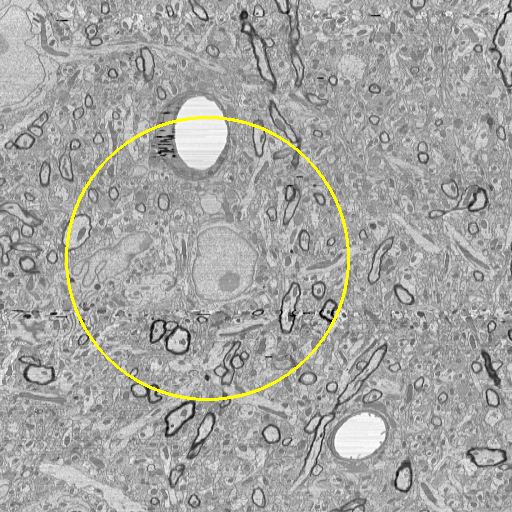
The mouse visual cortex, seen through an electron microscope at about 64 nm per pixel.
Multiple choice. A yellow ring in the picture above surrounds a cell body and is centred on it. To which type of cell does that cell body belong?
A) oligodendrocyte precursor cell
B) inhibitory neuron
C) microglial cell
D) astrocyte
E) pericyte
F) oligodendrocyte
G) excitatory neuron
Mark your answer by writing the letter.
A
